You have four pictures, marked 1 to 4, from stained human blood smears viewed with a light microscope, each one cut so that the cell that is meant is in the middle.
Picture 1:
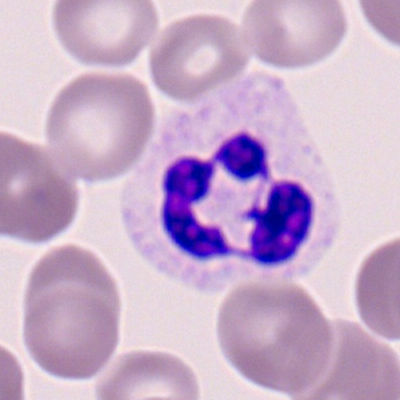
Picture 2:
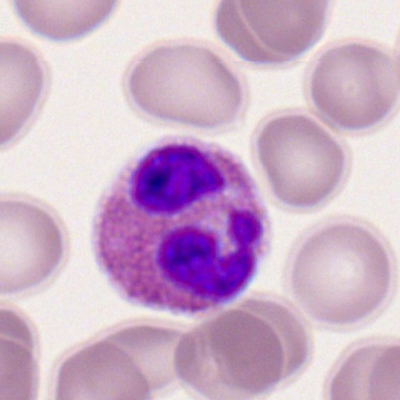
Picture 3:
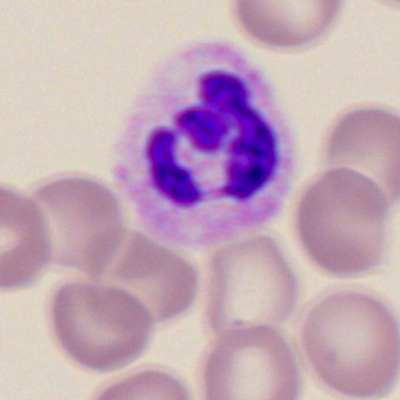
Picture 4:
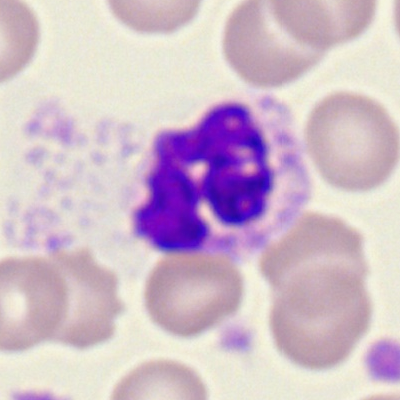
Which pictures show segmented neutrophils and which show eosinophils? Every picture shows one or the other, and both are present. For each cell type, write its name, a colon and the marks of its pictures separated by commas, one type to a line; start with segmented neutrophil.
segmented neutrophil: 1, 3, 4
eosinophil: 2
